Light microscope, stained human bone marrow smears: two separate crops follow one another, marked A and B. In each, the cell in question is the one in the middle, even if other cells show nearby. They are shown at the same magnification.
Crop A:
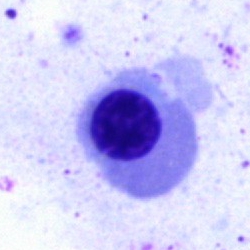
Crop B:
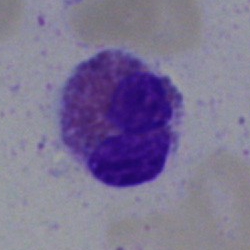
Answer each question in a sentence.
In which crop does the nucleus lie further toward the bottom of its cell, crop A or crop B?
In crop B the nucleus is shifted more toward the bottom.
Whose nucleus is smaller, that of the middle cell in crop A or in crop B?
The nucleus in crop A is smaller; the one in crop B has about 1.5 times its area.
